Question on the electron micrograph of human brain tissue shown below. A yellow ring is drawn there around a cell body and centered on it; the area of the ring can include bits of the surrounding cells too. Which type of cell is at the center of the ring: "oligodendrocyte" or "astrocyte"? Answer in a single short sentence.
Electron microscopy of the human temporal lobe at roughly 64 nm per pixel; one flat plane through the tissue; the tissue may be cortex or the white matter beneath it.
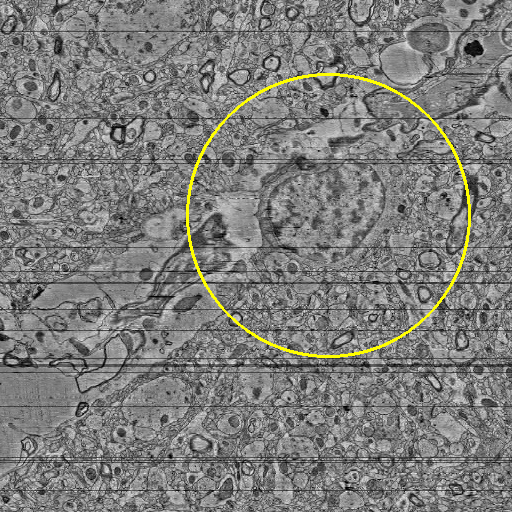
The ring is centered on an oligodendrocyte.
